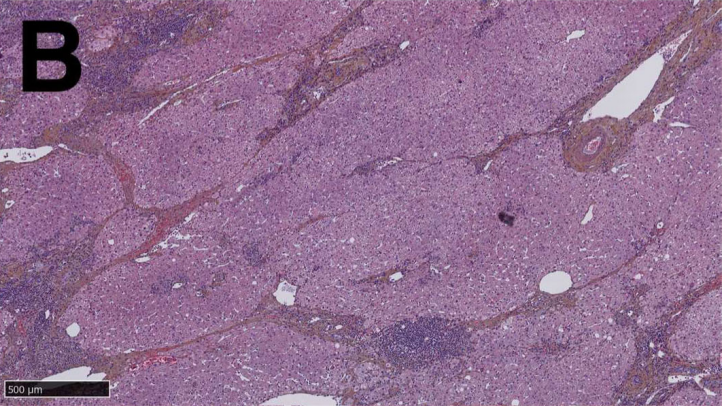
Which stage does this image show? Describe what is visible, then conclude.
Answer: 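The bands outline nodules only in part, leaving gaps. Clusters of dark purple inflammatory cells sit in and near the bands.
Hence: Stage 3 liver fibrosis.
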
